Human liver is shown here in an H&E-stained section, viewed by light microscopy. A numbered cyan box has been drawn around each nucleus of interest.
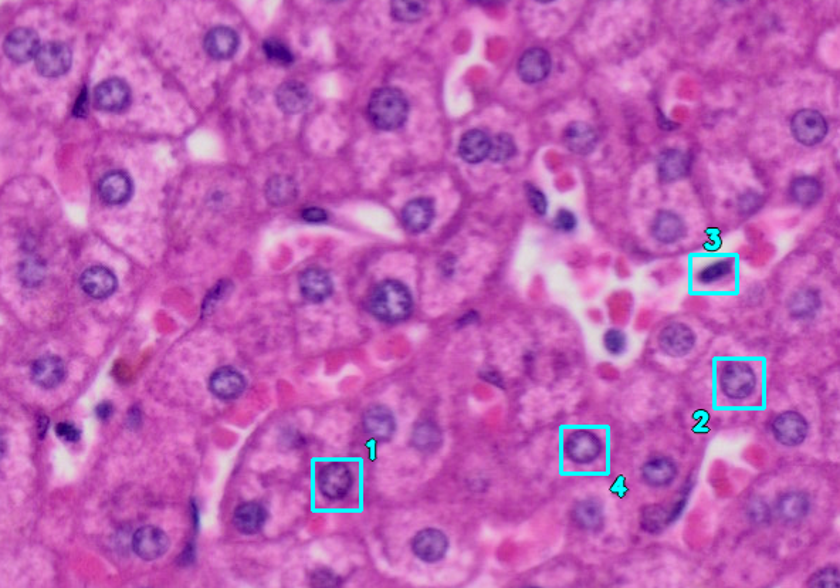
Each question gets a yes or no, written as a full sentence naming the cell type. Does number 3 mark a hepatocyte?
No, cell 3 isn't a hepatocyte; it's a lymphocyte.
